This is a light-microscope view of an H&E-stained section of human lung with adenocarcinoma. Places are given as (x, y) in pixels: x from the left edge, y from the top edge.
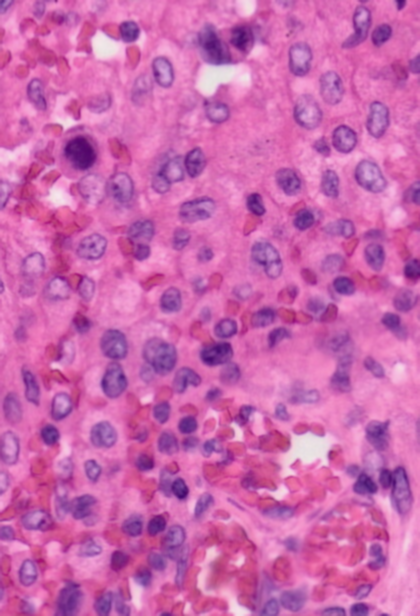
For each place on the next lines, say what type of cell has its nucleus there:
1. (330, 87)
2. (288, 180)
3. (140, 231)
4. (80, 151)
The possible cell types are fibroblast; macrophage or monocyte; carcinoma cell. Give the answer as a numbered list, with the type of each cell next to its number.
1. macrophage or monocyte
2. macrophage or monocyte
3. macrophage or monocyte
4. carcinoma cell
